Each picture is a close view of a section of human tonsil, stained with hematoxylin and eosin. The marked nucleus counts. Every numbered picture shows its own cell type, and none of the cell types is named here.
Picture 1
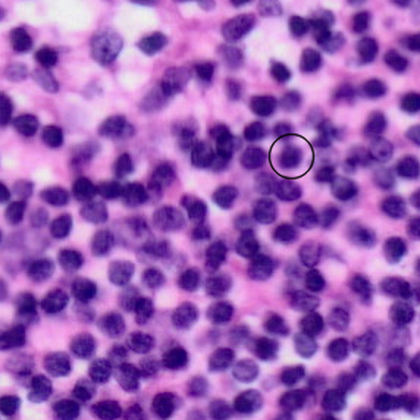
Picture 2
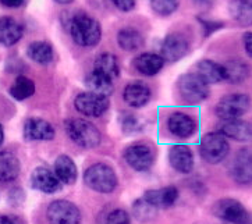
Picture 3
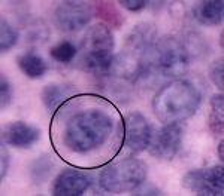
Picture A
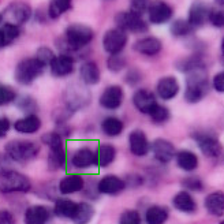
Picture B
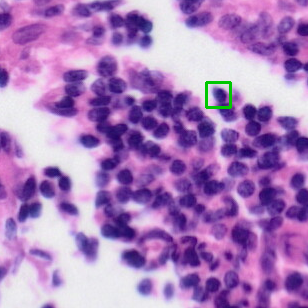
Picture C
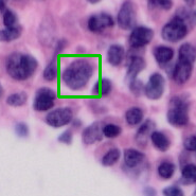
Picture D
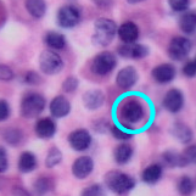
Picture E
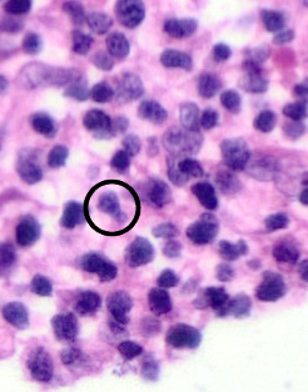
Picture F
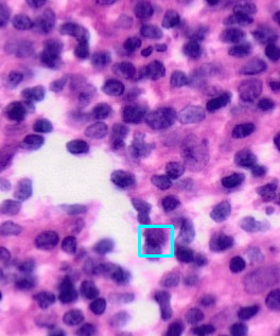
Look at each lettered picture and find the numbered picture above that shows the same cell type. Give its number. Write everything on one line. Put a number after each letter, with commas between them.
A 1, B 1, C 3, D 2, E 3, F 3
